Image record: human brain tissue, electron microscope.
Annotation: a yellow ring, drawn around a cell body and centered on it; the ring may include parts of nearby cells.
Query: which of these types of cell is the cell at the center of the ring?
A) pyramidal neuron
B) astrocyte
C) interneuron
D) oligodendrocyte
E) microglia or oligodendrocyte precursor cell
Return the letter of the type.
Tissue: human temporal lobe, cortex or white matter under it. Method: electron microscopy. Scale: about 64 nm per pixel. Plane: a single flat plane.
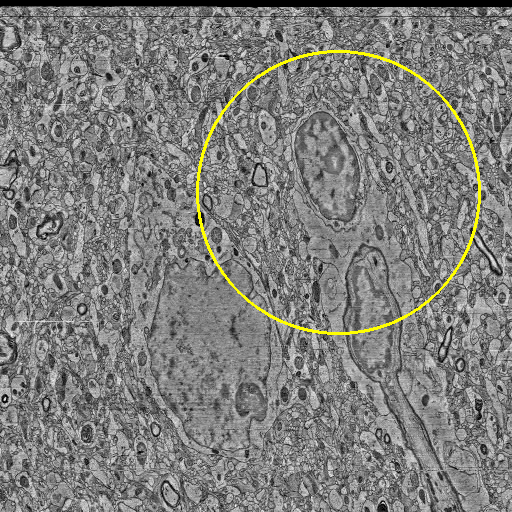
E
